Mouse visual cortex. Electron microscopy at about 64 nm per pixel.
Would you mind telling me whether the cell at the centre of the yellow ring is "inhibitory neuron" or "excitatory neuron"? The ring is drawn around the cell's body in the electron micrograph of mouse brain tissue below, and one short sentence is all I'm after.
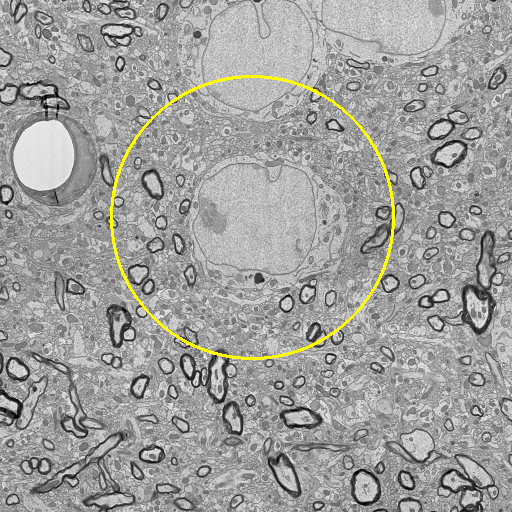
In the centre of the ring lies an excitatory neuron.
